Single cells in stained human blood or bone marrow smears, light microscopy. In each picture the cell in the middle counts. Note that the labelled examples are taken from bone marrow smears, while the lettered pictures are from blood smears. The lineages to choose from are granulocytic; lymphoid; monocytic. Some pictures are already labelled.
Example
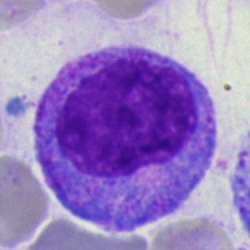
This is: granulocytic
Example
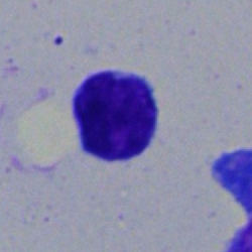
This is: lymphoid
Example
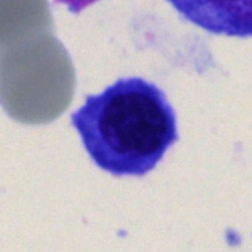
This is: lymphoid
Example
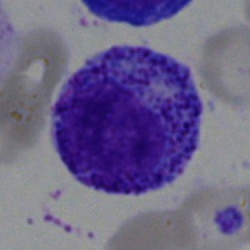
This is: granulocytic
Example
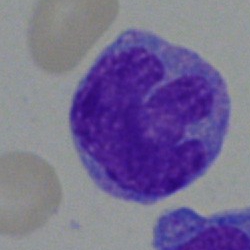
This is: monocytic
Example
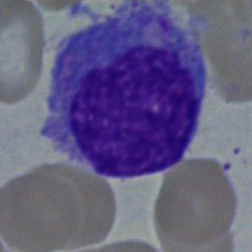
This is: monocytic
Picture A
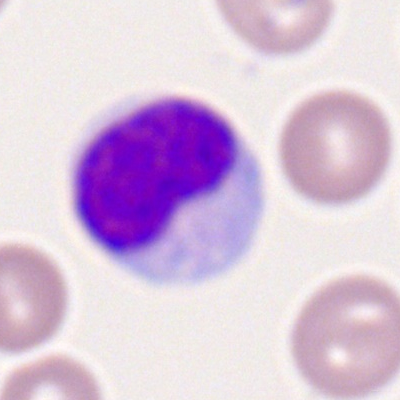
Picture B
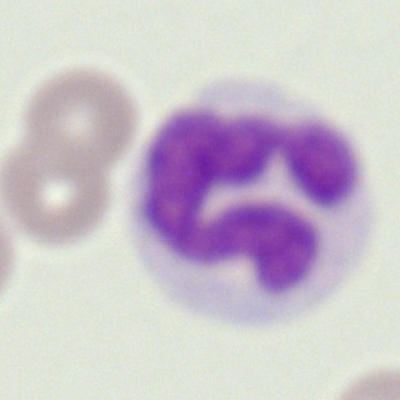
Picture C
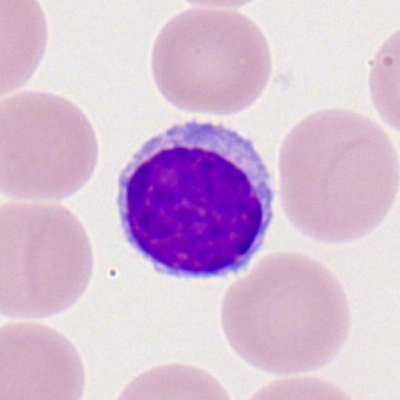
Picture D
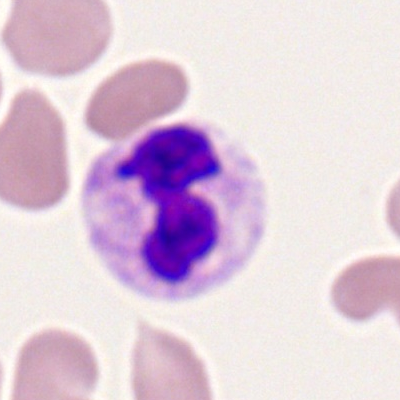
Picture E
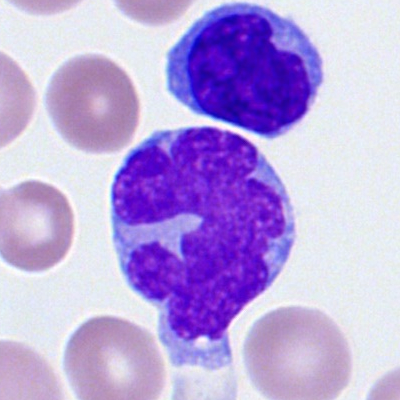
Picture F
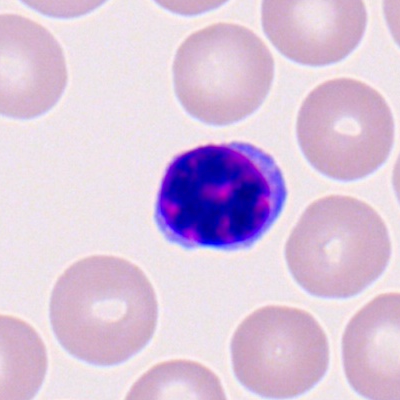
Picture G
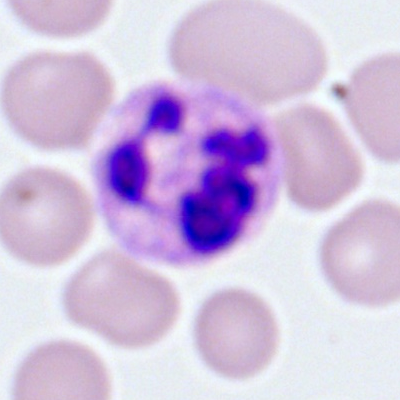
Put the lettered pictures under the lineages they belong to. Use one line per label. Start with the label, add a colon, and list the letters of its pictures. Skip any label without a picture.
granulocytic: D, G
lymphoid: A, C, F
monocytic: B, E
